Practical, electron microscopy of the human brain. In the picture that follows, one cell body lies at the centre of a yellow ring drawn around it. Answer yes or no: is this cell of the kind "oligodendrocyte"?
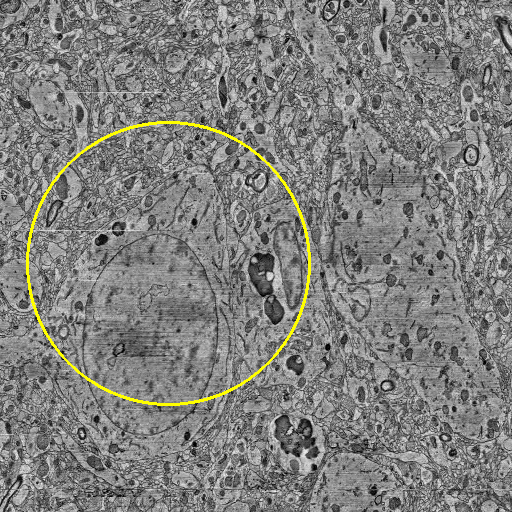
no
